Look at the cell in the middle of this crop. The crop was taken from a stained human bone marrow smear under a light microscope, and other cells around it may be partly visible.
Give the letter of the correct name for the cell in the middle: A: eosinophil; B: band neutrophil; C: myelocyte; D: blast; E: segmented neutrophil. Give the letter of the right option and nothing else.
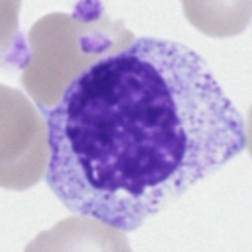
C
